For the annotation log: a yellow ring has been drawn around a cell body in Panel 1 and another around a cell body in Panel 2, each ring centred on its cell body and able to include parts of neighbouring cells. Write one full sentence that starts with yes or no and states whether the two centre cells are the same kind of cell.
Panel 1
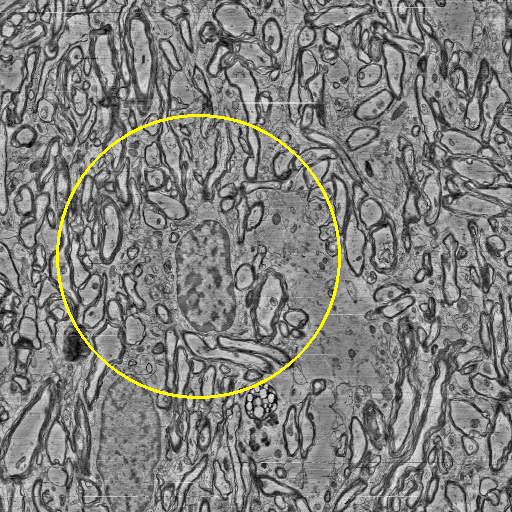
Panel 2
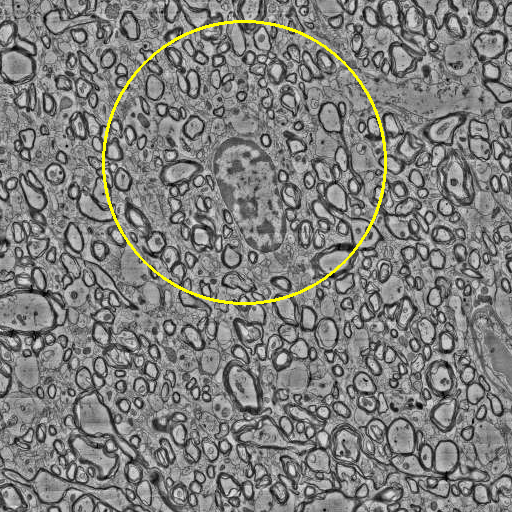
Yes, the two centre cells are the same kind of cell.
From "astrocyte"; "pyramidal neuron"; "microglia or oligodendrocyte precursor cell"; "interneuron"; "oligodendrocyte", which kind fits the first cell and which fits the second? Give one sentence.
Each cell at the centre of a ring is a microglial cell or oligodendrocyte precursor cell.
